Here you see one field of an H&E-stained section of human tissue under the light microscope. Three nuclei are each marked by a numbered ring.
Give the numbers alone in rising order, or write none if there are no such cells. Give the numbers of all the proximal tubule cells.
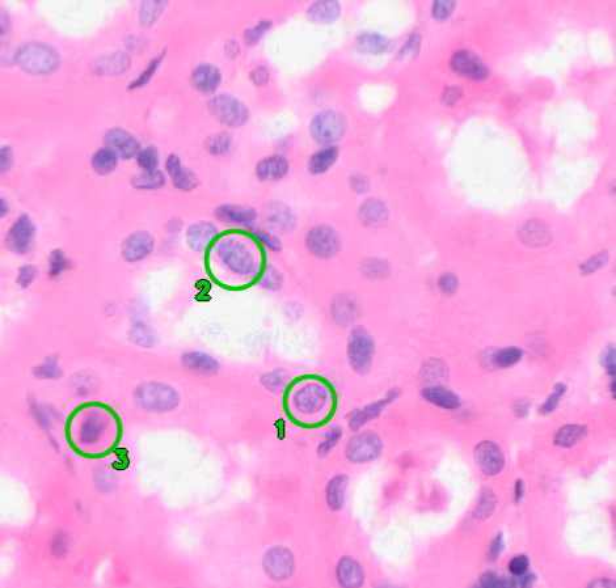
3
